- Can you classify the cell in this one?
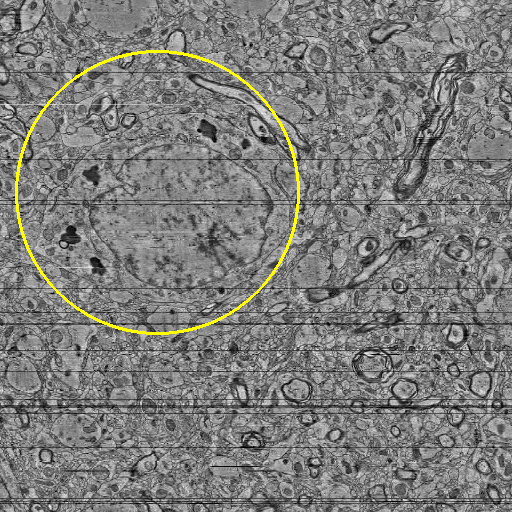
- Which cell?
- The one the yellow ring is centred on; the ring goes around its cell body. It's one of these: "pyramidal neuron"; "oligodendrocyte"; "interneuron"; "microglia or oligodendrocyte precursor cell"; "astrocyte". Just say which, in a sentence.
The cell body in the ring belongs to an interneuron.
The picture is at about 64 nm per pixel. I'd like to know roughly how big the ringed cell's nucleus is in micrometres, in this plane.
About 11 micrometres across in this plane, for the nucleus.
